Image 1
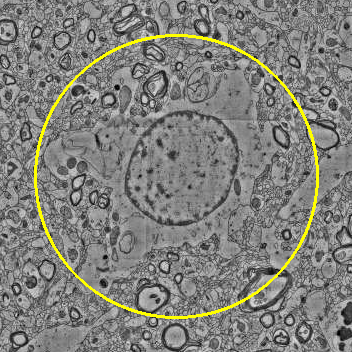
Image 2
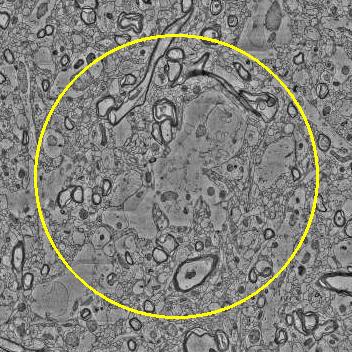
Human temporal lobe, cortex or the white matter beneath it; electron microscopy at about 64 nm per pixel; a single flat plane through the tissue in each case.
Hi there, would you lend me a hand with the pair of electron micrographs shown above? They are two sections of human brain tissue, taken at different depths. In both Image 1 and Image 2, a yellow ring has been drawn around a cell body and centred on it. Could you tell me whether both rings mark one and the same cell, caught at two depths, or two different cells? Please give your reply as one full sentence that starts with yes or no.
Yes, a single cell lies behind both yellow marks.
